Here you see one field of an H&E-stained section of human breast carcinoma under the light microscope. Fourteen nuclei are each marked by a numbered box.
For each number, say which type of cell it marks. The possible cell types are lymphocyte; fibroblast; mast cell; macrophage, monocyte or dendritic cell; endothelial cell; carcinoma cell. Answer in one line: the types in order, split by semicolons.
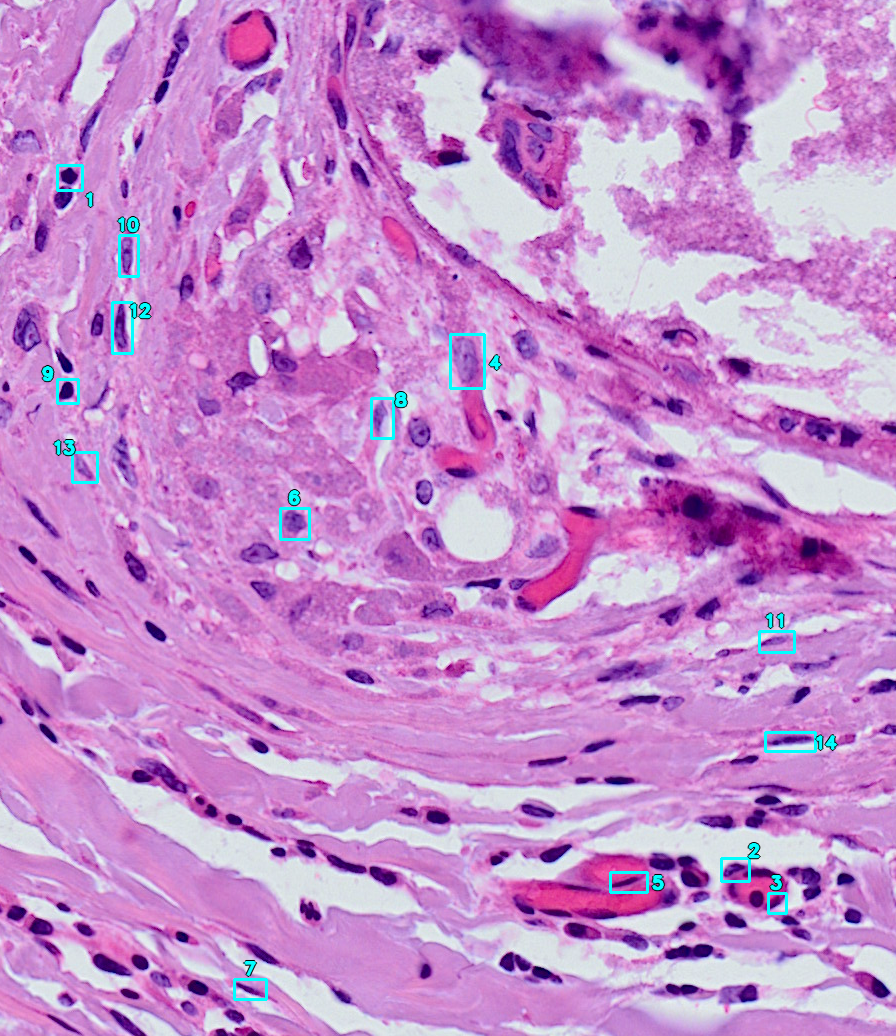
lymphocyte; endothelial cell; endothelial cell; endothelial cell; endothelial cell; macrophage, monocyte or dendritic cell; fibroblast; fibroblast; lymphocyte; fibroblast; fibroblast; fibroblast; fibroblast; fibroblast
